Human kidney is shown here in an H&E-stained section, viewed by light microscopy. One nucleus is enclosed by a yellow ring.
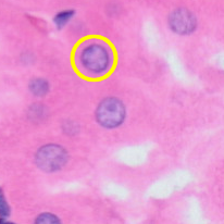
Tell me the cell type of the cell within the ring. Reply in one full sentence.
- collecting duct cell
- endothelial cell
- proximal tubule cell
By its classification, the cell within the ring is a proximal tubule cell.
